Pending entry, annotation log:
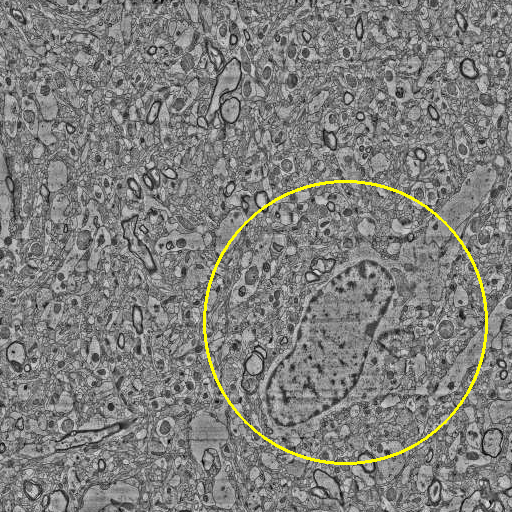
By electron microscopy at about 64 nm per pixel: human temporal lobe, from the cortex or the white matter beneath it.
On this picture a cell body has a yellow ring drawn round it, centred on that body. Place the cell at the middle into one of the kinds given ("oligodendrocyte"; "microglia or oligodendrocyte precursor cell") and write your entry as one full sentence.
The cell body at the middle of the yellow ring belongs to a microglial cell or oligodendrocyte precursor cell.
